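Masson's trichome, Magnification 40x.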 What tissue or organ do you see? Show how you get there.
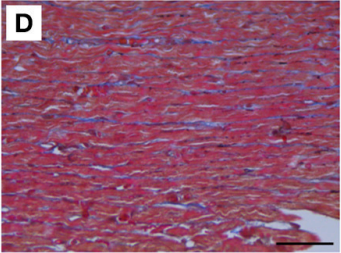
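Elongated red-stained muscle fibers run in parallel across the panel. Fibers are closely packed with thin strands of blue between them.
Answer: myocardium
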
